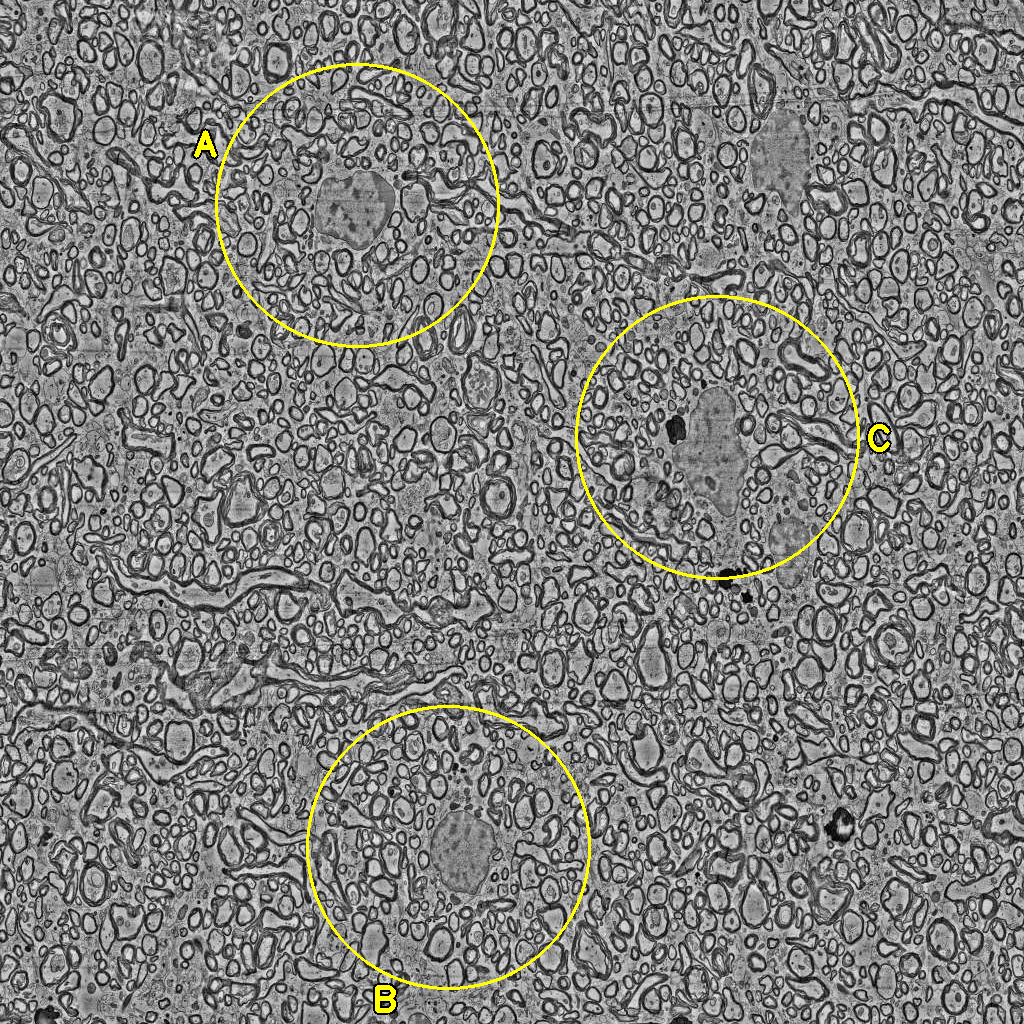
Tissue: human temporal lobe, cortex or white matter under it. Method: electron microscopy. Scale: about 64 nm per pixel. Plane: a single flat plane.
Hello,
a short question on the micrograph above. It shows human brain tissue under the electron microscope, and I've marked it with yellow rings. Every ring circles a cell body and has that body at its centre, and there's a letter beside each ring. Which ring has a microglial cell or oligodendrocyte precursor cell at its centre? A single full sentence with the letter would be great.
The cell you asked about sits at the centre of ring A.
